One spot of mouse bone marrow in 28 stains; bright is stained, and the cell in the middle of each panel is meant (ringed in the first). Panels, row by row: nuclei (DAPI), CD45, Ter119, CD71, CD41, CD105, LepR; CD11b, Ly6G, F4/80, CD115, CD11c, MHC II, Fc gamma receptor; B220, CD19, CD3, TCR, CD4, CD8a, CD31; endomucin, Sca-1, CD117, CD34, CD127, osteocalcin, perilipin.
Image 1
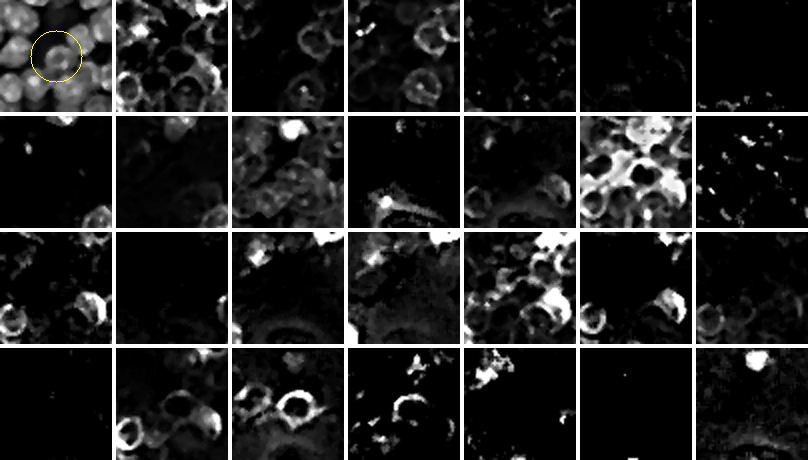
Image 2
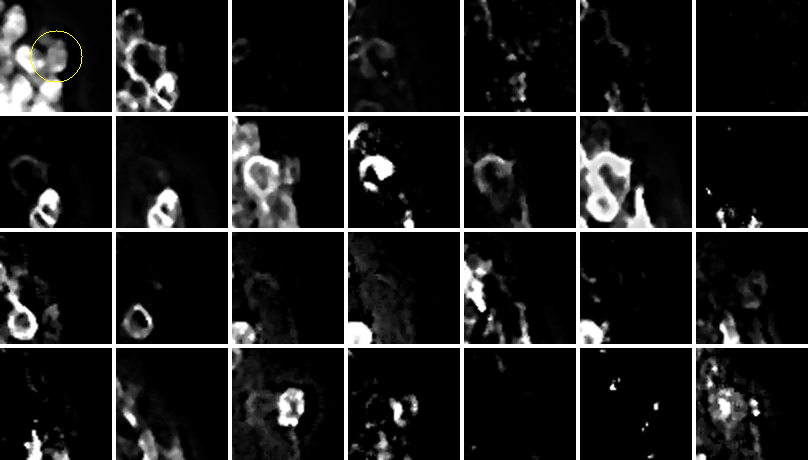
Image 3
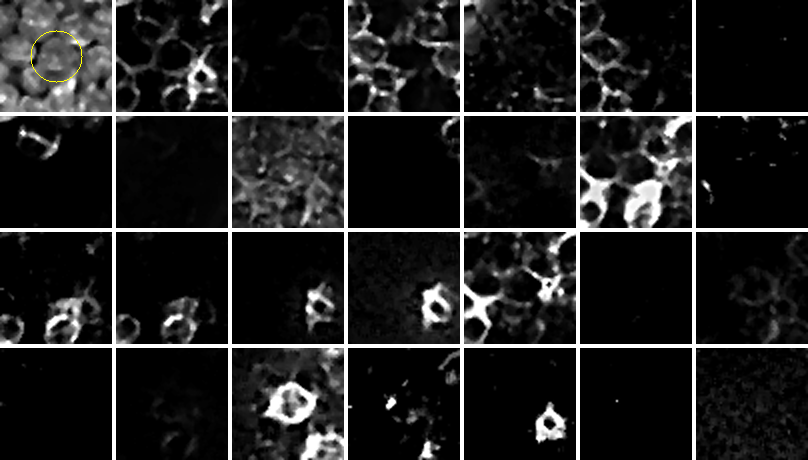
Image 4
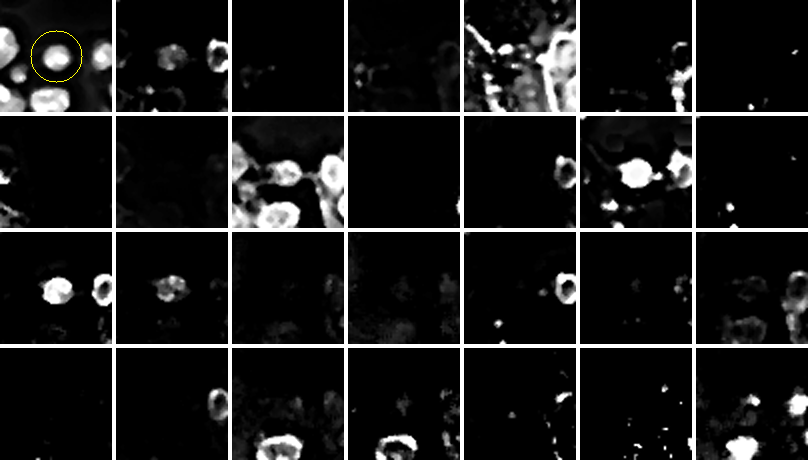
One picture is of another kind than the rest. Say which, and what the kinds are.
Picture 4 shows a B cell; the rest show common myeloid progenitors.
